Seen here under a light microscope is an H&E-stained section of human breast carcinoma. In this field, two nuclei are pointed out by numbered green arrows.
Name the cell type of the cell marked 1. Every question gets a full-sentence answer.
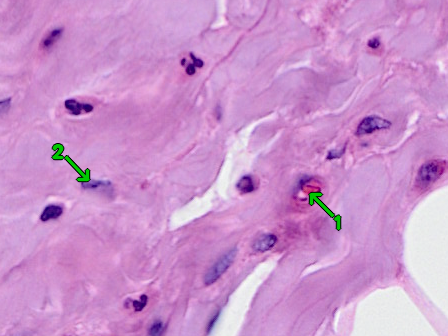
Identified by the number 1, the cell is an endothelial cell.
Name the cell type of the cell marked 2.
What the number 2 marks in this field is a fibroblast.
